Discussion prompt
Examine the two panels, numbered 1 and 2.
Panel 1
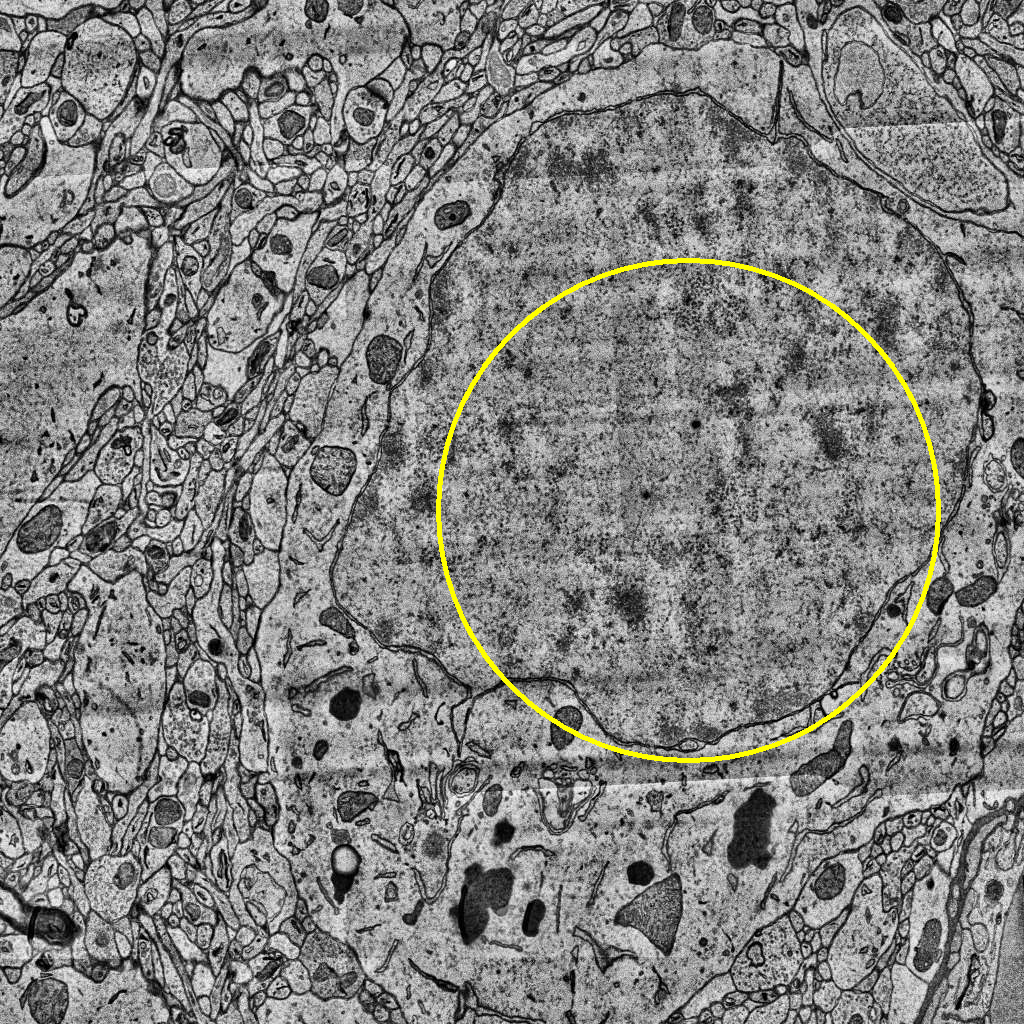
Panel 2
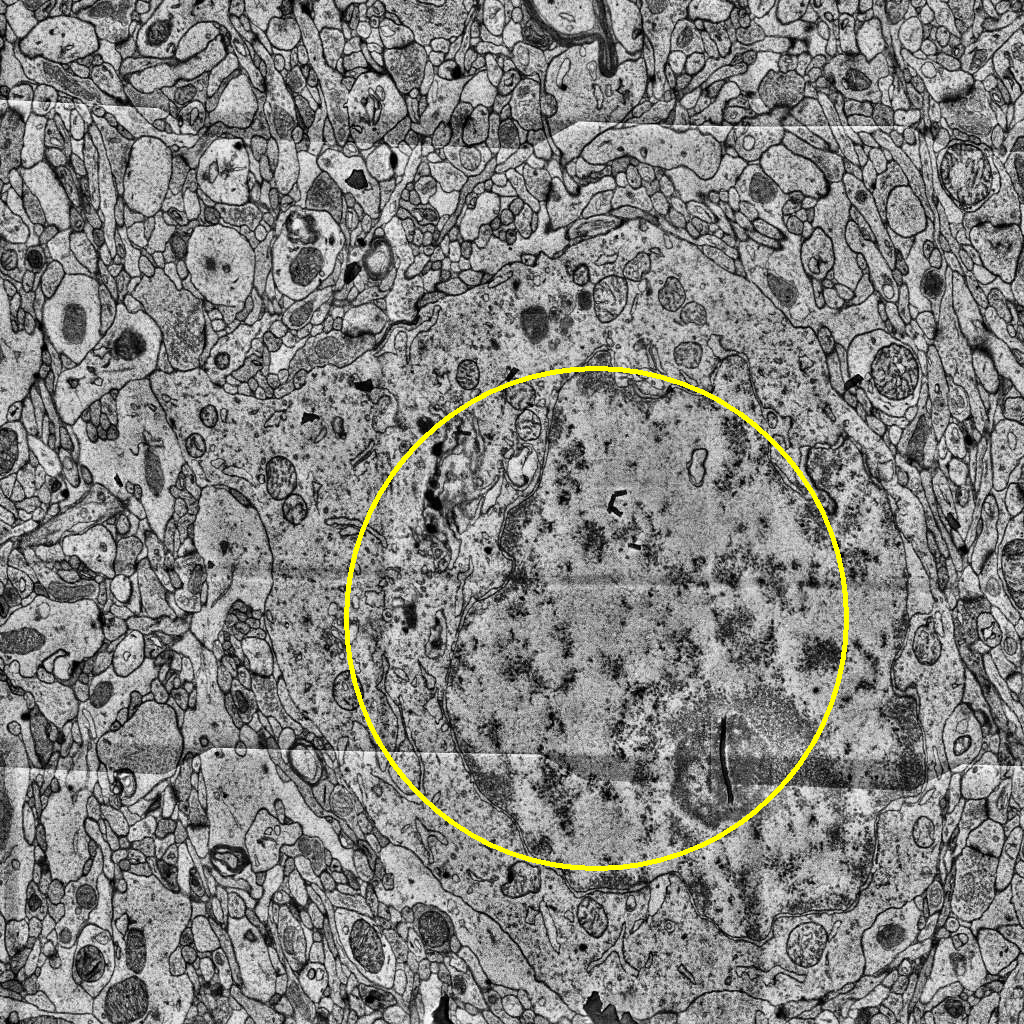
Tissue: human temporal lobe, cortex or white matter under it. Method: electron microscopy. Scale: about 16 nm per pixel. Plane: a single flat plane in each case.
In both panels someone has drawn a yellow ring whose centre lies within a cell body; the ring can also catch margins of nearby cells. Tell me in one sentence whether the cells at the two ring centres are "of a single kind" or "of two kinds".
Taken together, the two cells at the ring centres of Panels 1 and 2 are of a single kind.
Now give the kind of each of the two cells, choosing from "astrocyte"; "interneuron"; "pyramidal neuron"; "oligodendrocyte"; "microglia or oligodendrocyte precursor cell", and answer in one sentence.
Each cell at the centre of a ring is an interneuron.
